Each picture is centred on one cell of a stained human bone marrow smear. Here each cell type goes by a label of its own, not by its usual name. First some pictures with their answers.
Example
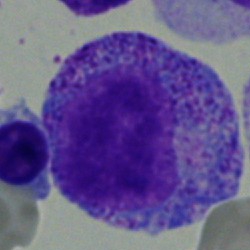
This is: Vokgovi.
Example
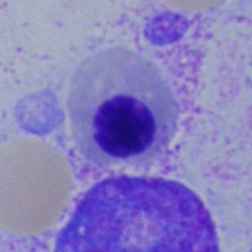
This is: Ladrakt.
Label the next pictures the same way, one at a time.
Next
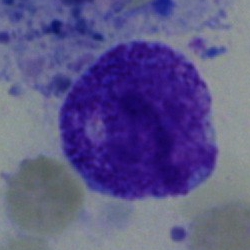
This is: Vokgovi.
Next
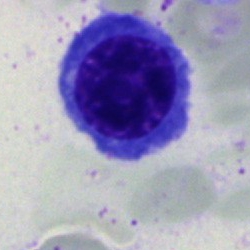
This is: Ladrakt.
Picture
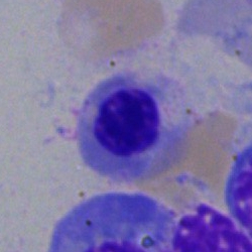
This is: Ladrakt.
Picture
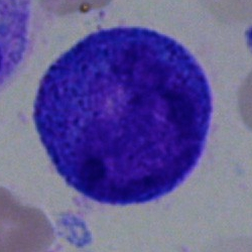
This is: Vokgovi.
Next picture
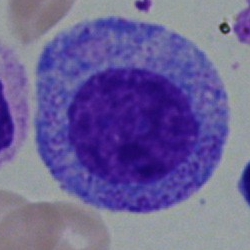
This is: Vokgovi.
